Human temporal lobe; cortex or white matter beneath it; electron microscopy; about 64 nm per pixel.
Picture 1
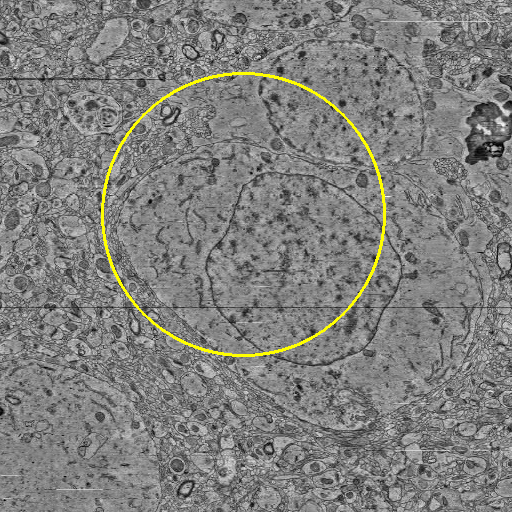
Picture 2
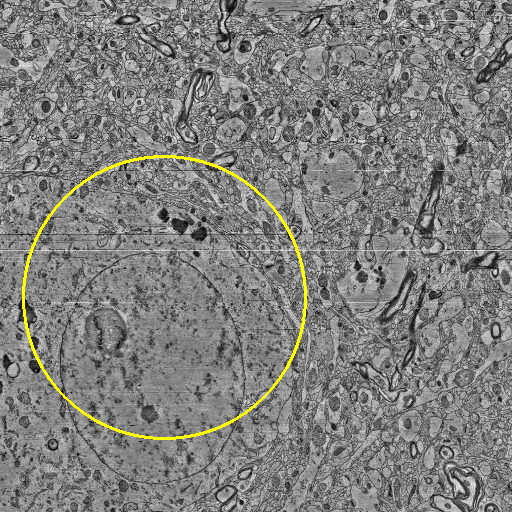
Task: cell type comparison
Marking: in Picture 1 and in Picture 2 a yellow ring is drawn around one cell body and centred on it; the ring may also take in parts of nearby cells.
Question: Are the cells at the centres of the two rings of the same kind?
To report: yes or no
yes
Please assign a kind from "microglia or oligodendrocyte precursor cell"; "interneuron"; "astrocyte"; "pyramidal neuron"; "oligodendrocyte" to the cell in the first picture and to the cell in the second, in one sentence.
Both the first and the second picture show a pyramidal neuron in the ring.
